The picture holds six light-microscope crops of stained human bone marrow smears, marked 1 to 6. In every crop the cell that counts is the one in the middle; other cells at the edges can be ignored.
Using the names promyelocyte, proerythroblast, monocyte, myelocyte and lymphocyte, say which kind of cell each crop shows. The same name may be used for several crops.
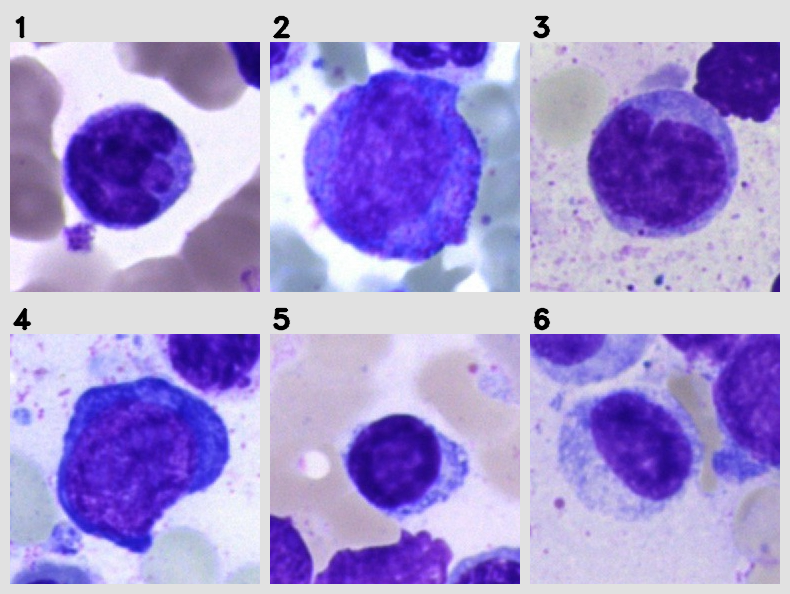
1: monocyte
2: promyelocyte
3: monocyte
4: proerythroblast
5: lymphocyte
6: myelocyte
